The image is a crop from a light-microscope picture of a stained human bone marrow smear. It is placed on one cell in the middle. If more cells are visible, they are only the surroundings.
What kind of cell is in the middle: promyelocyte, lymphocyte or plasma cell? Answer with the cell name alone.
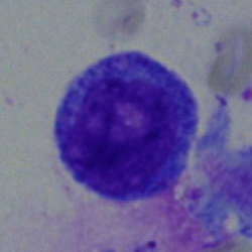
promyelocyte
